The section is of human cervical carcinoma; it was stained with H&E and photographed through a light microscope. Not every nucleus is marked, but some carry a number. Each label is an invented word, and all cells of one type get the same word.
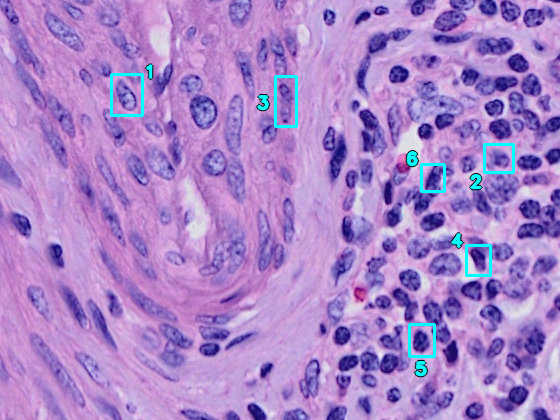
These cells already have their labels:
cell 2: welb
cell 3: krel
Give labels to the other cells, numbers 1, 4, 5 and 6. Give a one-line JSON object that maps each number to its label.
{"1": "krel", "4": "welb", "5": "welb", "6": "welb"}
